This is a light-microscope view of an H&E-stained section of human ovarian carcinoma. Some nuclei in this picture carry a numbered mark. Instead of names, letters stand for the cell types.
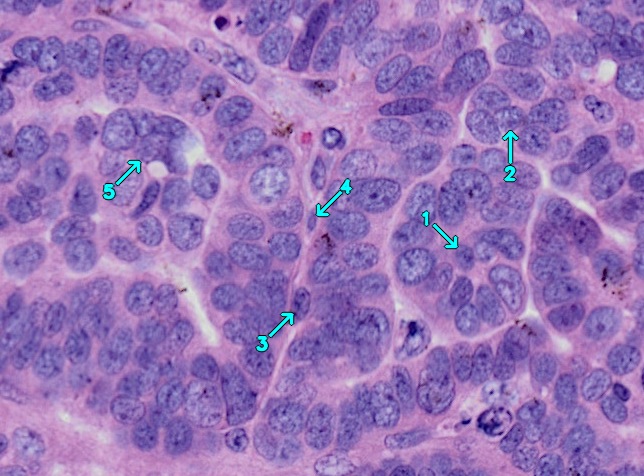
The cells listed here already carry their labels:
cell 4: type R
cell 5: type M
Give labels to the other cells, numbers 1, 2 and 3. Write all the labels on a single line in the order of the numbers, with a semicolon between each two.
type M; type M; type R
